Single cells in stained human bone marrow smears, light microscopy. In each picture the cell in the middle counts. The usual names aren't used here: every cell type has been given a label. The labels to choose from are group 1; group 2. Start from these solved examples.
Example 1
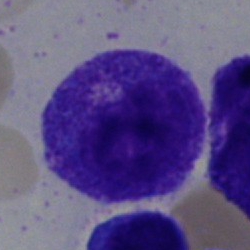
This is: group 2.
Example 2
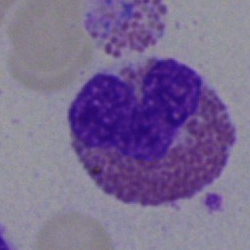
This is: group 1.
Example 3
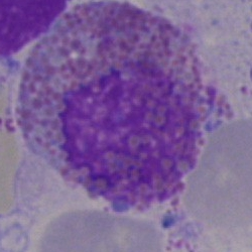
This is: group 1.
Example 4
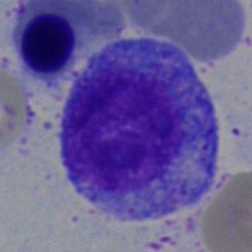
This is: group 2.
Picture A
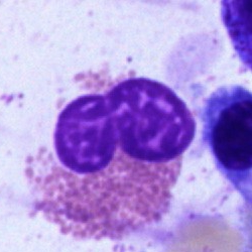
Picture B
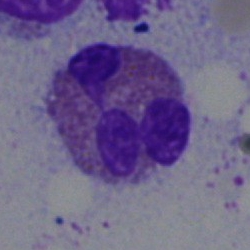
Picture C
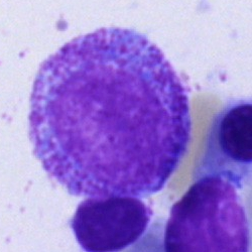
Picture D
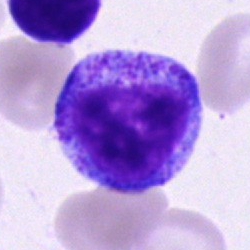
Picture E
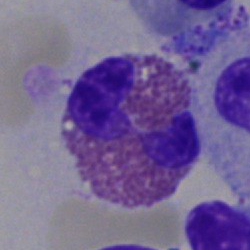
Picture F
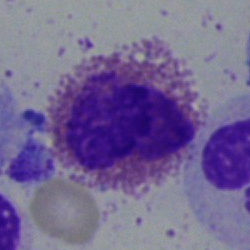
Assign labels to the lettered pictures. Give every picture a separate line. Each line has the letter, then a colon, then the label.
A: group 1.
B: group 1.
C: group 2.
D: group 2.
E: group 1.
F: group 1.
